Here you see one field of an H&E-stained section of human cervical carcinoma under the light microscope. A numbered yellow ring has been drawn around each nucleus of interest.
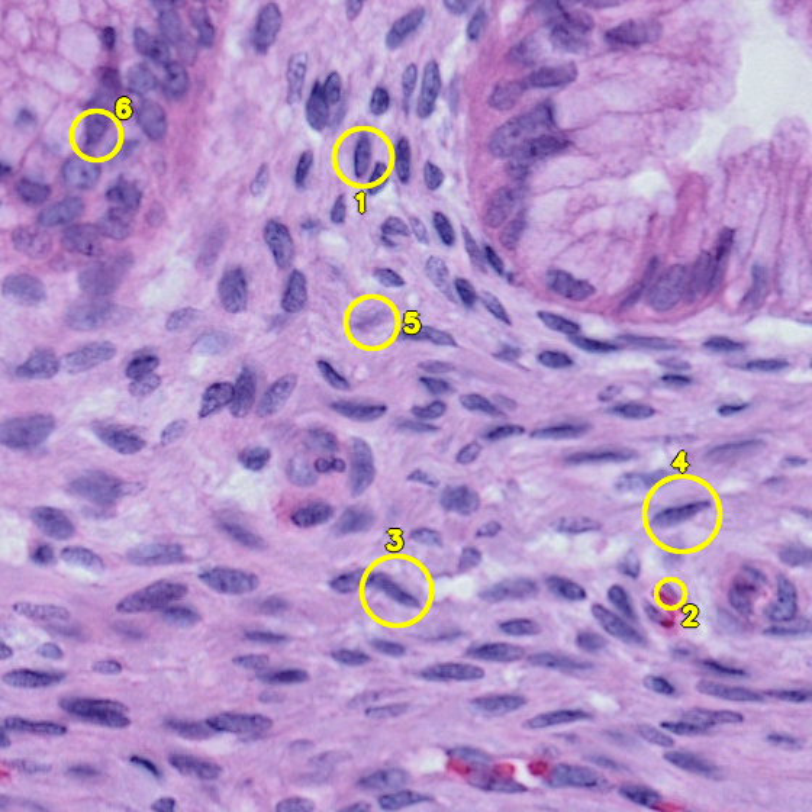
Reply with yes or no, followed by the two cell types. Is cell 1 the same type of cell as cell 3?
Yes, the cells bearing numbers 1 and 3 are both fibroblasts.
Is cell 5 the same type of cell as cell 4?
Yes, cell 5 is counted among the fibroblasts, as is cell 4.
